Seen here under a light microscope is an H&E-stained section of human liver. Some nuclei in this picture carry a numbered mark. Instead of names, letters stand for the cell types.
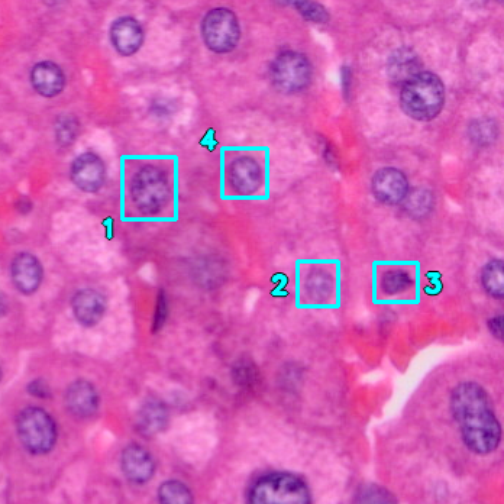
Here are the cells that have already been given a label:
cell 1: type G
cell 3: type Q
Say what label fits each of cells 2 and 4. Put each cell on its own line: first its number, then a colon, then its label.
2: type G
4: type G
